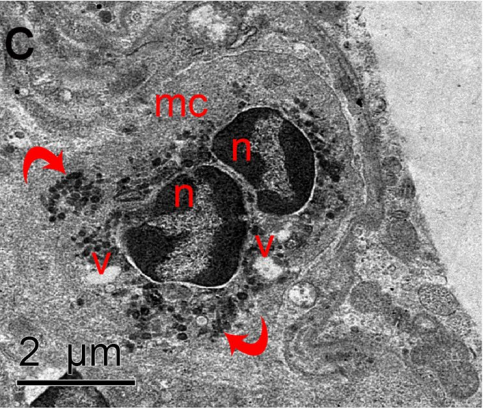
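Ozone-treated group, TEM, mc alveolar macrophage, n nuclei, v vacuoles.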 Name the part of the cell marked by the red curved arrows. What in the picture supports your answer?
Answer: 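Many small dark round granules in the cytoplasm around the nuclei.
Conclusion: electron-dense bodies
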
